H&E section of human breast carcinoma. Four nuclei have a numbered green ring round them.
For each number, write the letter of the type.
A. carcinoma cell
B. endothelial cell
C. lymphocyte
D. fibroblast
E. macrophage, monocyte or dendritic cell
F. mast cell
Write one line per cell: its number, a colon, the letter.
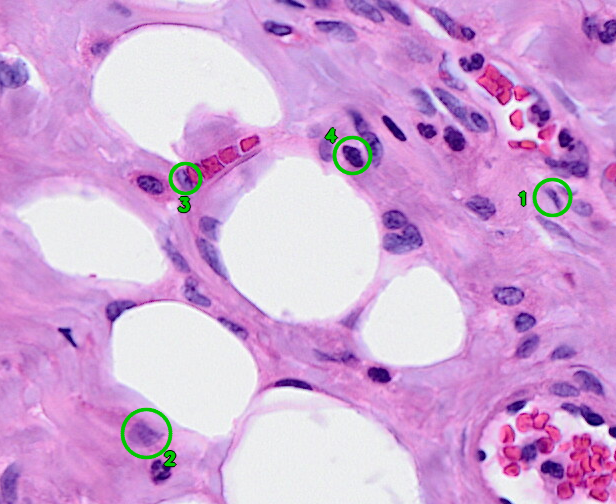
1: D
2: D
3: B
4: C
